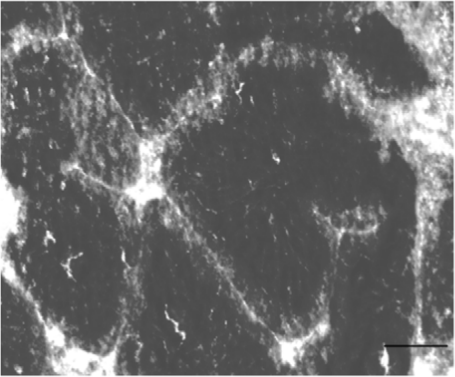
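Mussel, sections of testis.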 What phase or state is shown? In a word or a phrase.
Mature stage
